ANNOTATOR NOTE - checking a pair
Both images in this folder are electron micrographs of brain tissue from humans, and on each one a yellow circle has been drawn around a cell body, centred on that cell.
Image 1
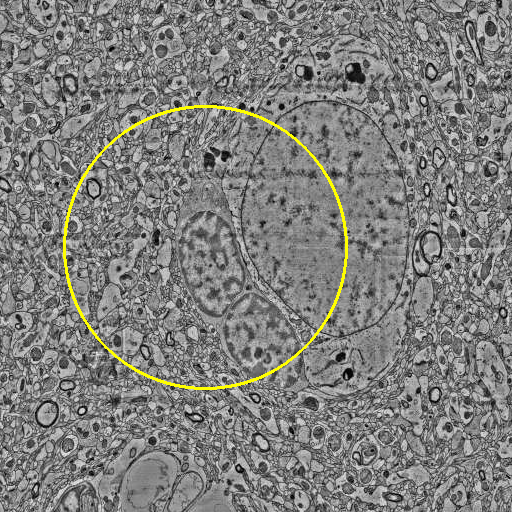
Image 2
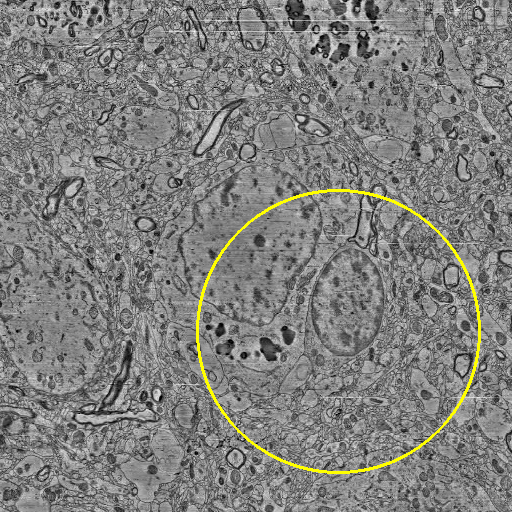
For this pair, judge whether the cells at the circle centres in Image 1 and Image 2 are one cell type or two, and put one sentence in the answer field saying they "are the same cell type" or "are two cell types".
For this pair, the cells at the circle centres in Images 1 and 2 are the same cell type.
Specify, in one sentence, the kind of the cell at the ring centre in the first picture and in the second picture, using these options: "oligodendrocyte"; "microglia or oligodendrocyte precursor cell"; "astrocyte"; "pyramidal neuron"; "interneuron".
Each of the two rings is centred on an oligodendrocyte.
